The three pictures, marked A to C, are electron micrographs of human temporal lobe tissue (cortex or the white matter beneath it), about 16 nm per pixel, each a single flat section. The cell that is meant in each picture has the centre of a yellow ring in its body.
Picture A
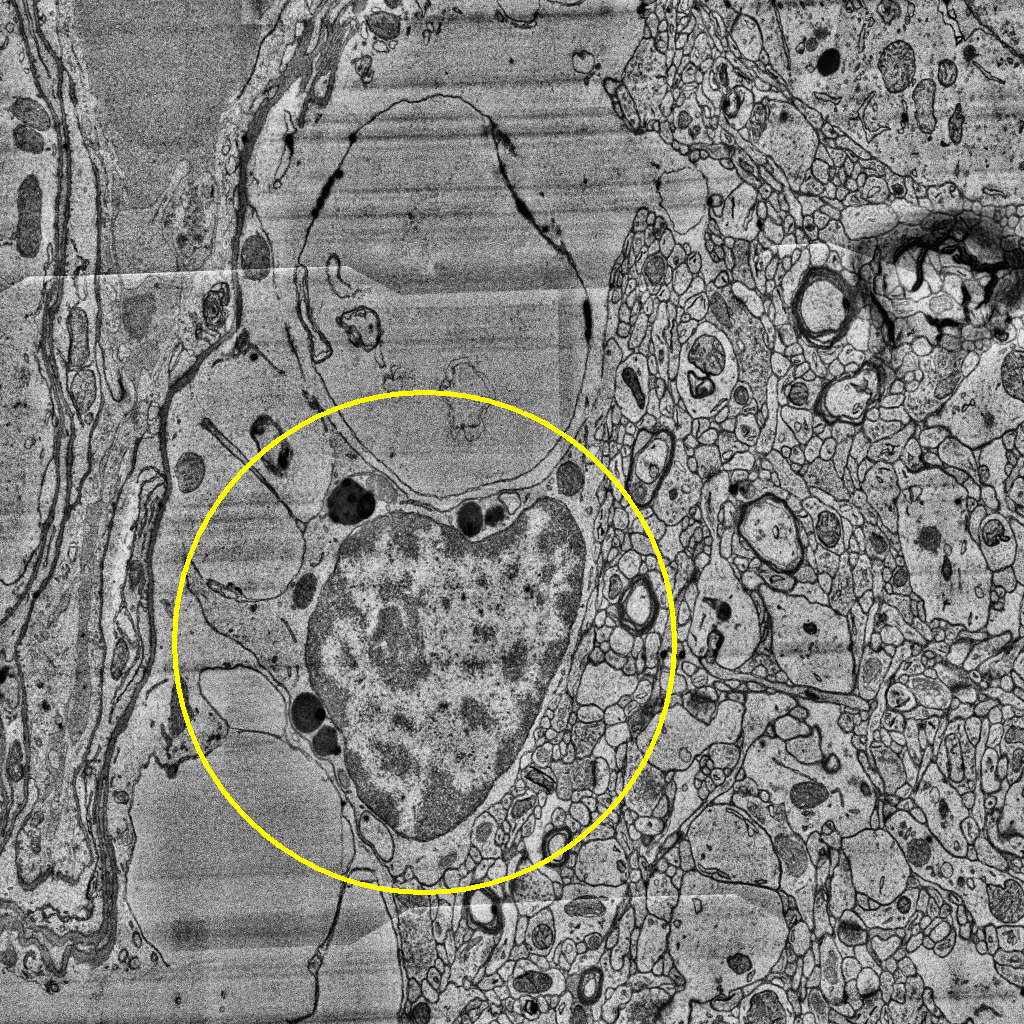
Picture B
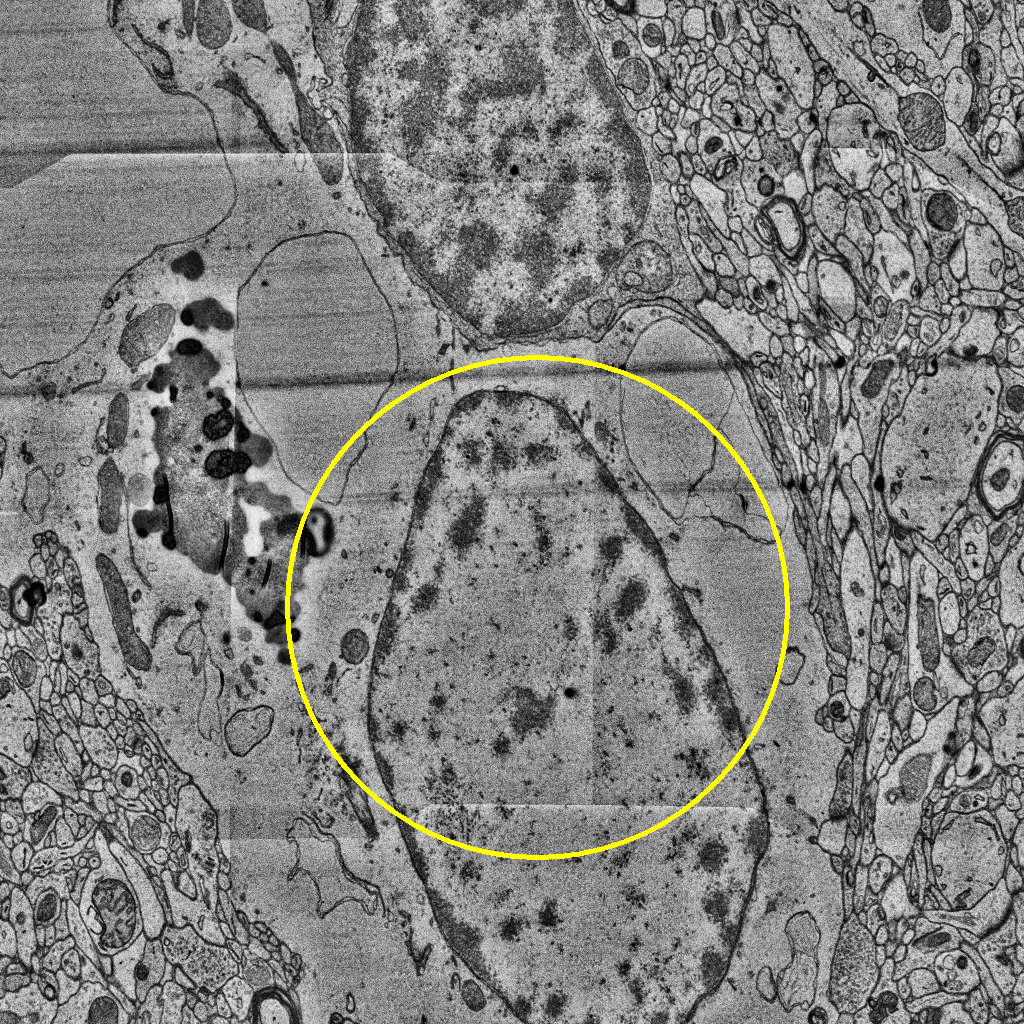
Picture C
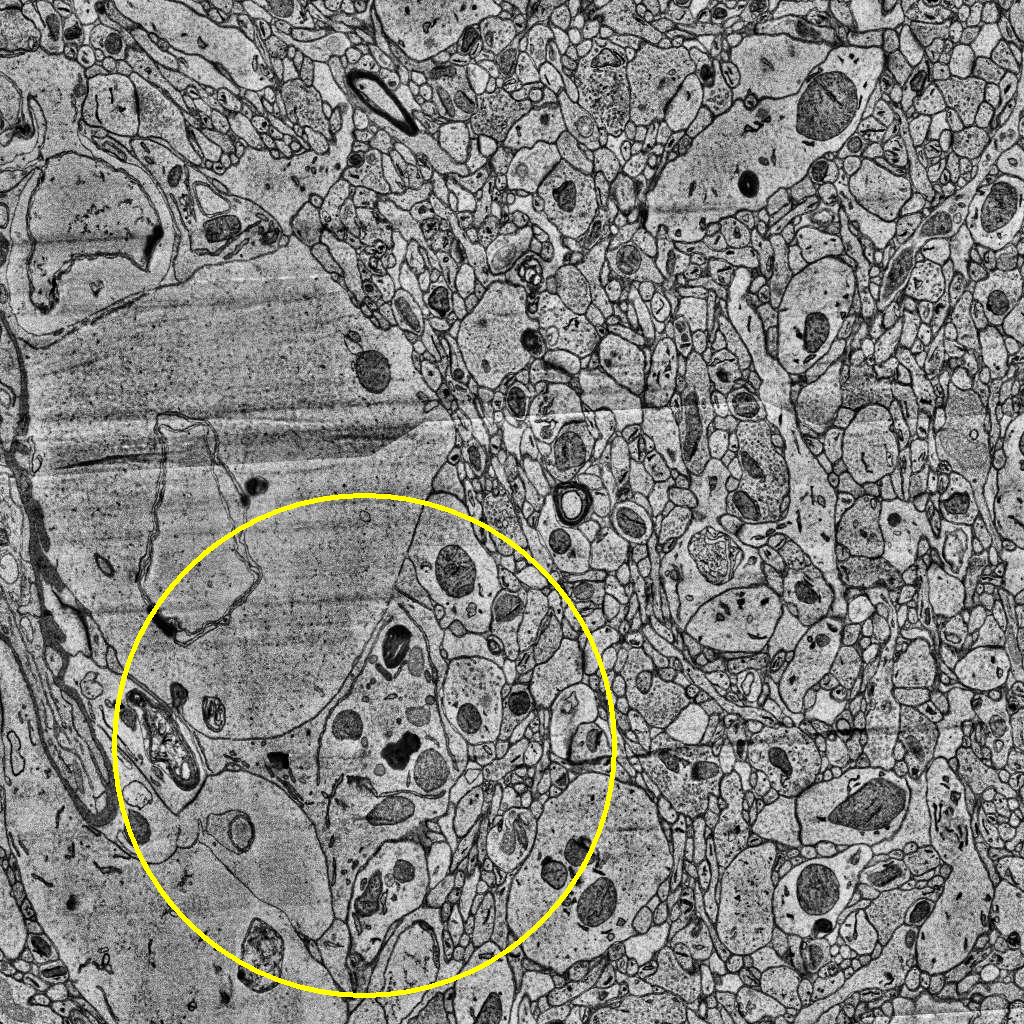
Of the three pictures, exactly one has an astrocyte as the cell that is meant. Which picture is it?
Picture B shows the astrocyte.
